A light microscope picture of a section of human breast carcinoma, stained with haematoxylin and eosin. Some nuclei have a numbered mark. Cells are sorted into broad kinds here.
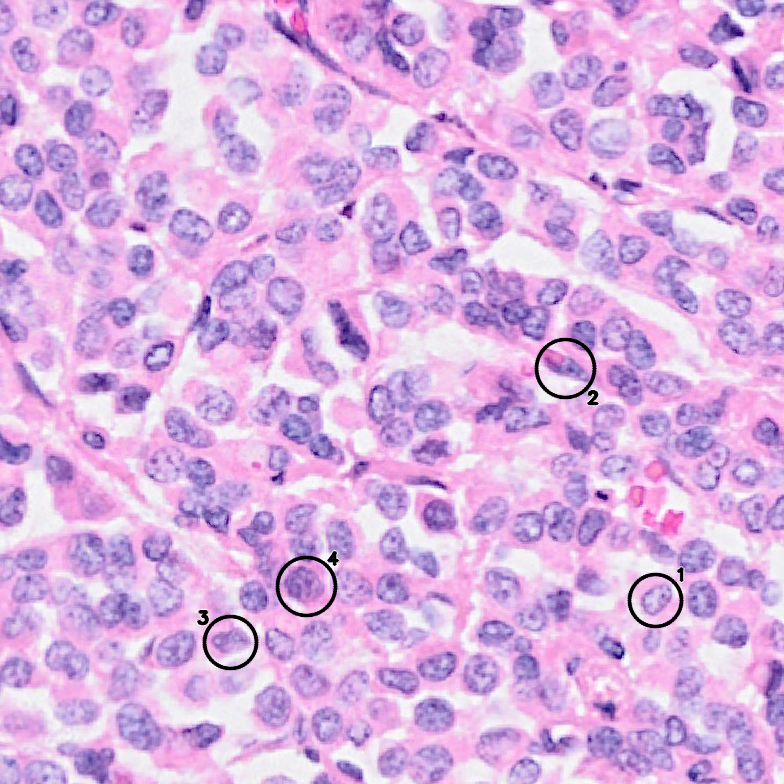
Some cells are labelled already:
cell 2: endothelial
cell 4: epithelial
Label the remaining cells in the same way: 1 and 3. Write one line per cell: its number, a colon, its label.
1: epithelial
3: epithelial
